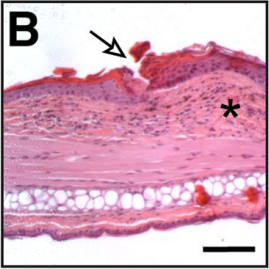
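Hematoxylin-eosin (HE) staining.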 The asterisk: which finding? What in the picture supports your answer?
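Inflammation. The area at the asterisk is crowded with many small dark nuclei. The crowded area lies beneath the surface epithelium.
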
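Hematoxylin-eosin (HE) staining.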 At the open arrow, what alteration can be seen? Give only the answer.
Damage to the epithelial cells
